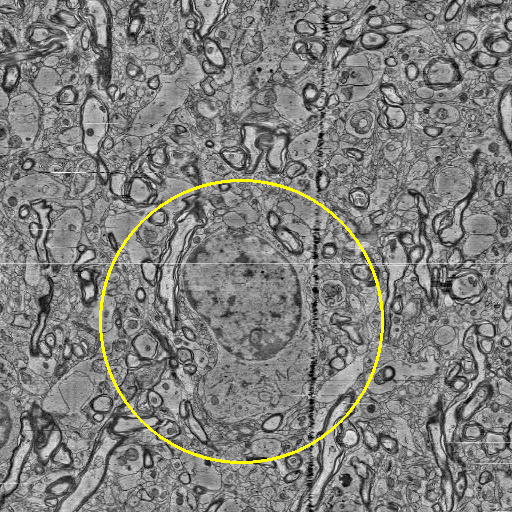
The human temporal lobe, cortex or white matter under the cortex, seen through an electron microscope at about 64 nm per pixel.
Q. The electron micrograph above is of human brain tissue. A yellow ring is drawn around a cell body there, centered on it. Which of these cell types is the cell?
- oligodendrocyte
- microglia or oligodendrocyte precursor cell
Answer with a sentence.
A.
The cell under the ring's center is a microglial cell or oligodendrocyte precursor cell.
